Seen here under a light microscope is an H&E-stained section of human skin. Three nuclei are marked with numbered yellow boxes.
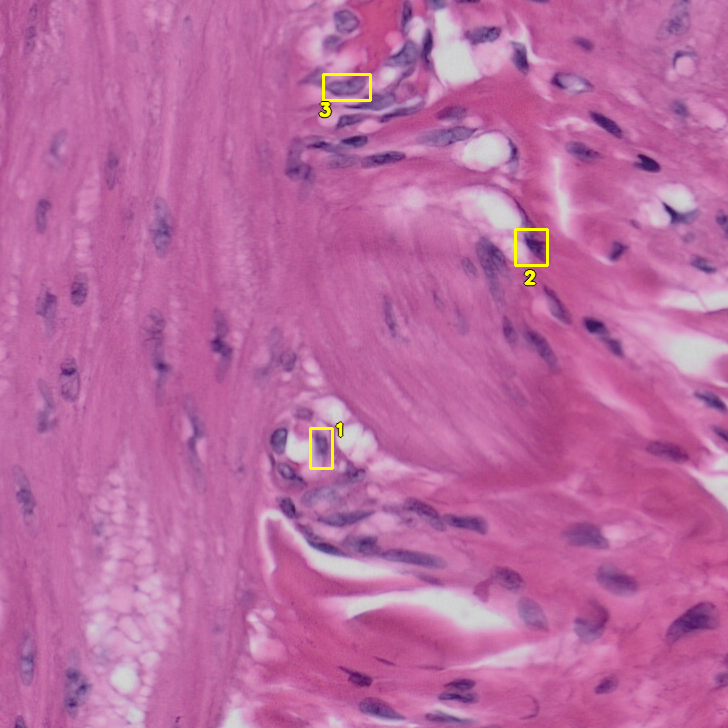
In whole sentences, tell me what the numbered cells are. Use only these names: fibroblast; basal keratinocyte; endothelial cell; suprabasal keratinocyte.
Cell 1 is an endothelial cell, cell 2 is a fibroblast and cell 3 is an endothelial cell.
